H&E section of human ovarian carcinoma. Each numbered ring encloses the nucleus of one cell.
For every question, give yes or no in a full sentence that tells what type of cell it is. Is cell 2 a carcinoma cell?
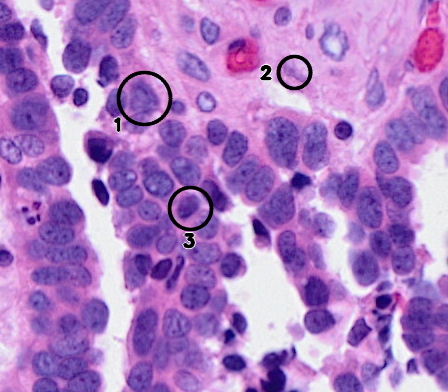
No, cell 2 is not a carcinoma cell; it is a fibroblast.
